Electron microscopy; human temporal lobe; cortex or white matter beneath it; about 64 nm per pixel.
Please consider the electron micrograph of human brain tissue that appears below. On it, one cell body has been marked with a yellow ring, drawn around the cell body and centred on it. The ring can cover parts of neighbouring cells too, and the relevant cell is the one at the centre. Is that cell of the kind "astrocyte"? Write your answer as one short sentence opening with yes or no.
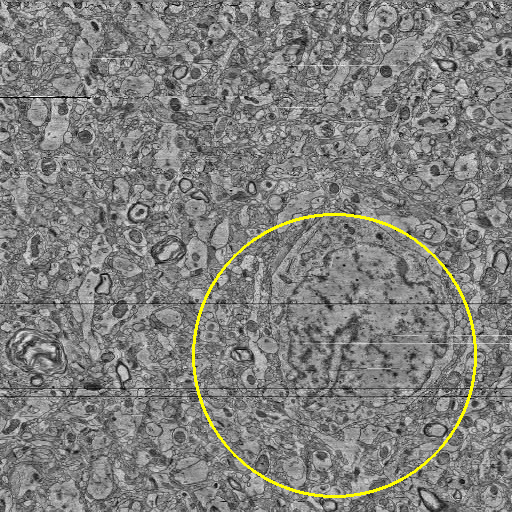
No, it is of another kind.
